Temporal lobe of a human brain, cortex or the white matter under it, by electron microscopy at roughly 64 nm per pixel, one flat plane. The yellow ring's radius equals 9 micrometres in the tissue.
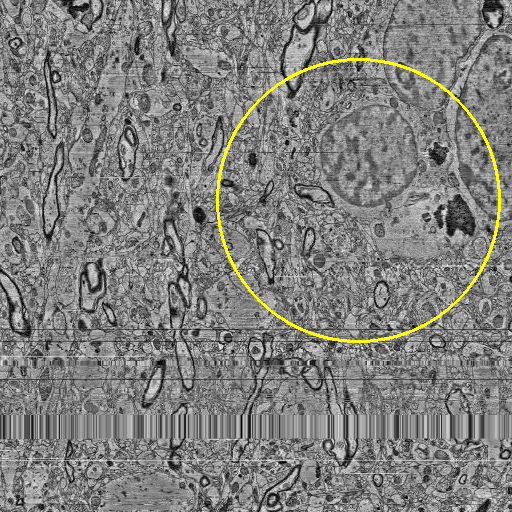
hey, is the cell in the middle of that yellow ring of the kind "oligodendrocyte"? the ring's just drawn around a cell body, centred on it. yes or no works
yes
